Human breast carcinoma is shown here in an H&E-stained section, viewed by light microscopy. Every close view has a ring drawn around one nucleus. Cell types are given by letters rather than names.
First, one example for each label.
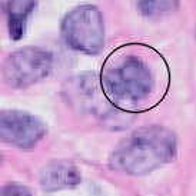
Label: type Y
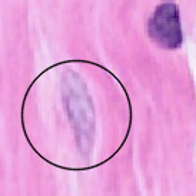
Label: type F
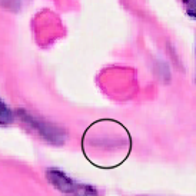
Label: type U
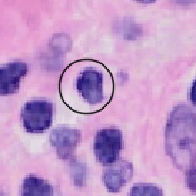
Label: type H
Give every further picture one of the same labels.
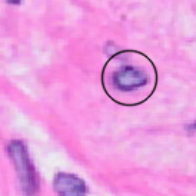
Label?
type U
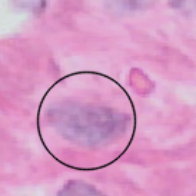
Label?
type F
